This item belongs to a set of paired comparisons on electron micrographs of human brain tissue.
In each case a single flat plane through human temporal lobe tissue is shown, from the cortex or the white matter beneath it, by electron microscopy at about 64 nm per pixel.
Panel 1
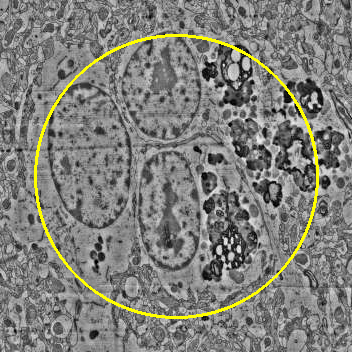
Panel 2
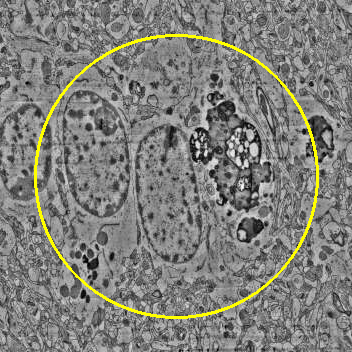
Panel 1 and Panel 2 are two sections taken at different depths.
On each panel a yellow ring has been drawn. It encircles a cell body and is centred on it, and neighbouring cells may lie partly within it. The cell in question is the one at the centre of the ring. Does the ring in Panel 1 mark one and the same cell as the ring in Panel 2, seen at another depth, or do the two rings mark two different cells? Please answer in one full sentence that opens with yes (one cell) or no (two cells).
Yes, one cell accounts for both of the yellow rings.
